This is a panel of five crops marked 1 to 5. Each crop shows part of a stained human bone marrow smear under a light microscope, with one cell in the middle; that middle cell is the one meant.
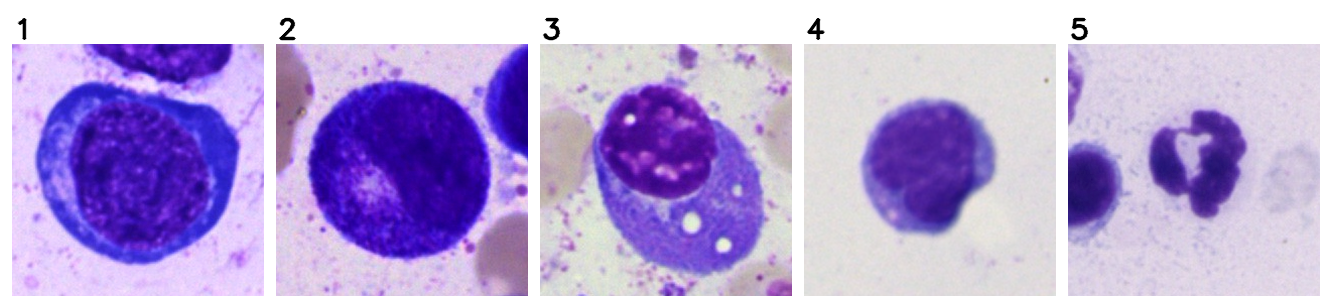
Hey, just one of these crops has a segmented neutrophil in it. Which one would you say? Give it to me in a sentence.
The crop marked 5 is the one in which a segmented neutrophil is shown.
